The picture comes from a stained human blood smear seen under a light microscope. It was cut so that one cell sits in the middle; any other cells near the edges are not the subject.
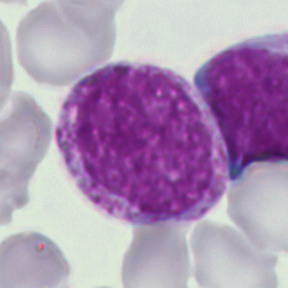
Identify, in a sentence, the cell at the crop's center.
To answer, the cell in the center of the crop is a myelocyte.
